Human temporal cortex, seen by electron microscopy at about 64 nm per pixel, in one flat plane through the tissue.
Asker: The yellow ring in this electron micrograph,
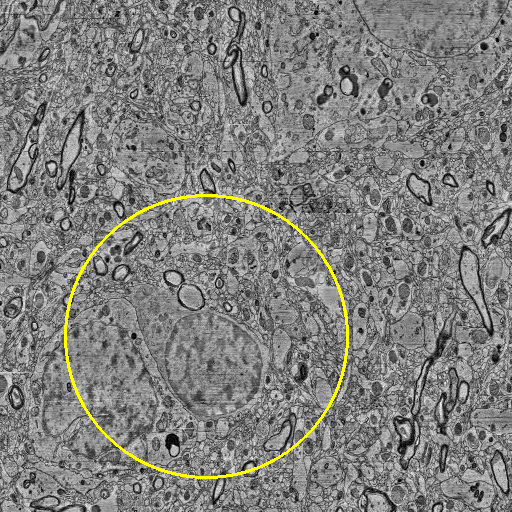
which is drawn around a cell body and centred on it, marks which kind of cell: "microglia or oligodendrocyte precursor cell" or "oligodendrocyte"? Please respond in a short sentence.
The marked cell is an oligodendrocyte.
